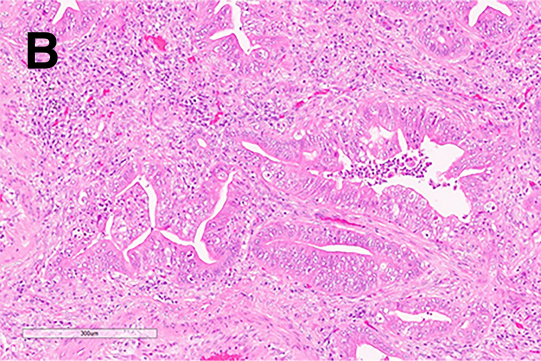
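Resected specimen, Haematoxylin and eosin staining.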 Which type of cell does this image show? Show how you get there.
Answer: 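Columnar epithelial cells. Tall cells with elongated nuclei line the gland spaces. Nuclei stand perpendicular to the lumen in crowded rows.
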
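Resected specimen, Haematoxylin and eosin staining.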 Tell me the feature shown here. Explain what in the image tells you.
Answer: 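Epithelium forms gland-like spaces of varied, angular and branching shape. The glands lie within a cellular stroma. The answer: irregular glandular structures.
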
